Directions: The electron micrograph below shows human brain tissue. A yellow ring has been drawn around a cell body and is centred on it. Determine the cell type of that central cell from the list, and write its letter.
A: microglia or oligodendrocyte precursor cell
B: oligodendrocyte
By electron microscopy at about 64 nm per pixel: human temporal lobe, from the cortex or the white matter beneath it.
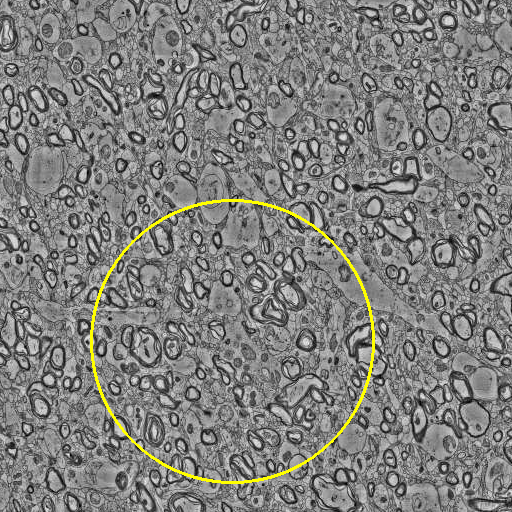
B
